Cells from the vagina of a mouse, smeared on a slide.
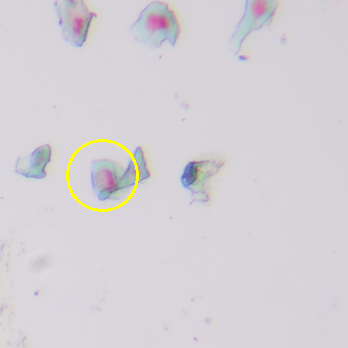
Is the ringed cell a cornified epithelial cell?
No, it is a nucleated epithelial cell.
